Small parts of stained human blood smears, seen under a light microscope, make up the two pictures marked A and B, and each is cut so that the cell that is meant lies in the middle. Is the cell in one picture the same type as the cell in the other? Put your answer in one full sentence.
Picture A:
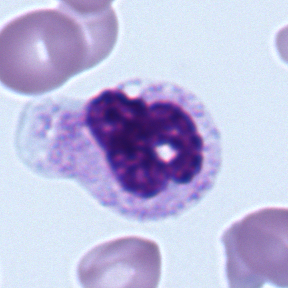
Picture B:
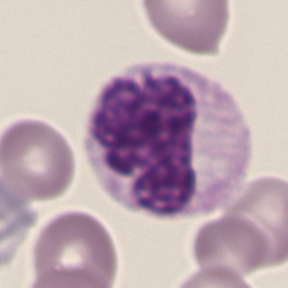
Yes, both are segmented neutrophils.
